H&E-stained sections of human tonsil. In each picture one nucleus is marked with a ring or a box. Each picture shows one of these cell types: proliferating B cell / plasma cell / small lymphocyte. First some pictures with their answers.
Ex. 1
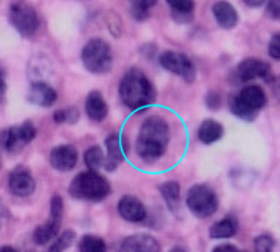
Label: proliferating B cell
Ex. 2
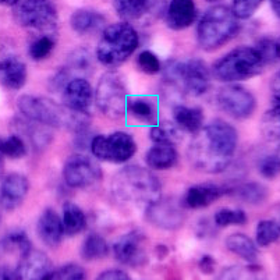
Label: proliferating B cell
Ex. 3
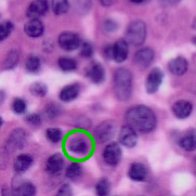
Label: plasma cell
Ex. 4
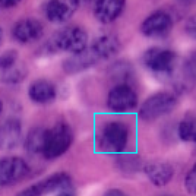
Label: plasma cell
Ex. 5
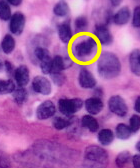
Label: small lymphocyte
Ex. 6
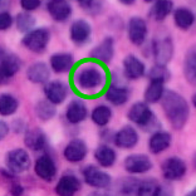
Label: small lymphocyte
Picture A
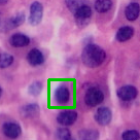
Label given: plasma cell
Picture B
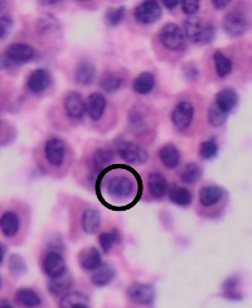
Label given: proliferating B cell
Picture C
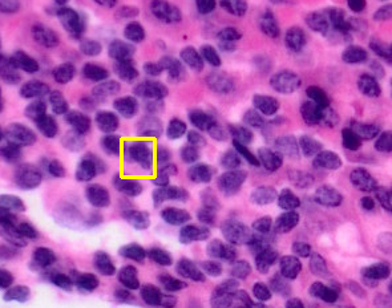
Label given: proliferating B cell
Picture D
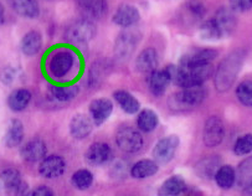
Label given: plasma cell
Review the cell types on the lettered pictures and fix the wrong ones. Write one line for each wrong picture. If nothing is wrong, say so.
B: change proliferating B cell to plasma cell
C: change proliferating B cell to small lymphocyte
